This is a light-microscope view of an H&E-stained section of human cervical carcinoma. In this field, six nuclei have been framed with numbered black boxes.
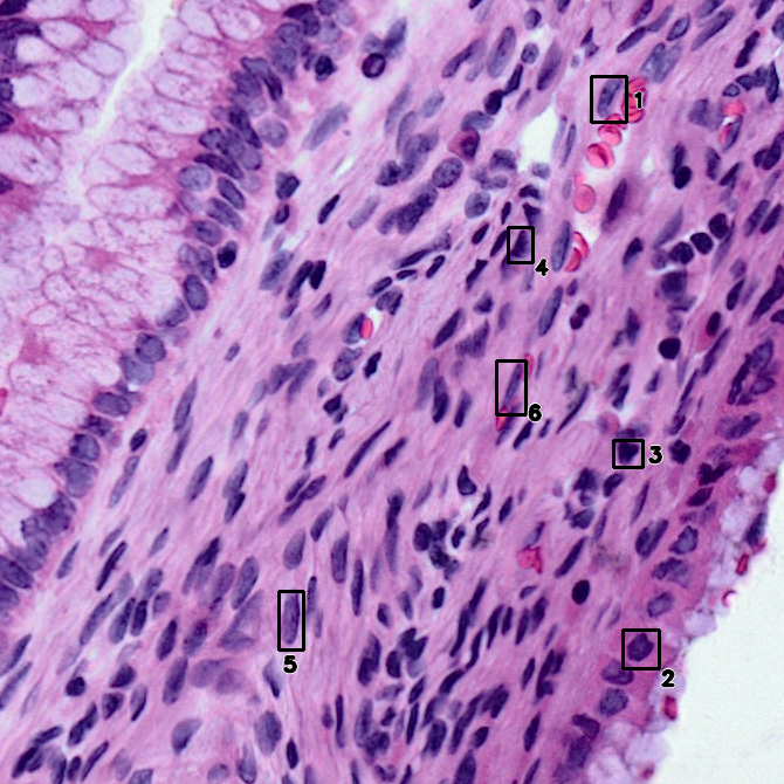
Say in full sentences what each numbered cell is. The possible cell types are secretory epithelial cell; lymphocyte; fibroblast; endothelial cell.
Cell 1 is an endothelial cell, cell 2 is a secretory epithelial cell, cell 3 is a lymphocyte, cell 4 is a fibroblast, cell 5 is a fibroblast and cell 6 is an endothelial cell.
